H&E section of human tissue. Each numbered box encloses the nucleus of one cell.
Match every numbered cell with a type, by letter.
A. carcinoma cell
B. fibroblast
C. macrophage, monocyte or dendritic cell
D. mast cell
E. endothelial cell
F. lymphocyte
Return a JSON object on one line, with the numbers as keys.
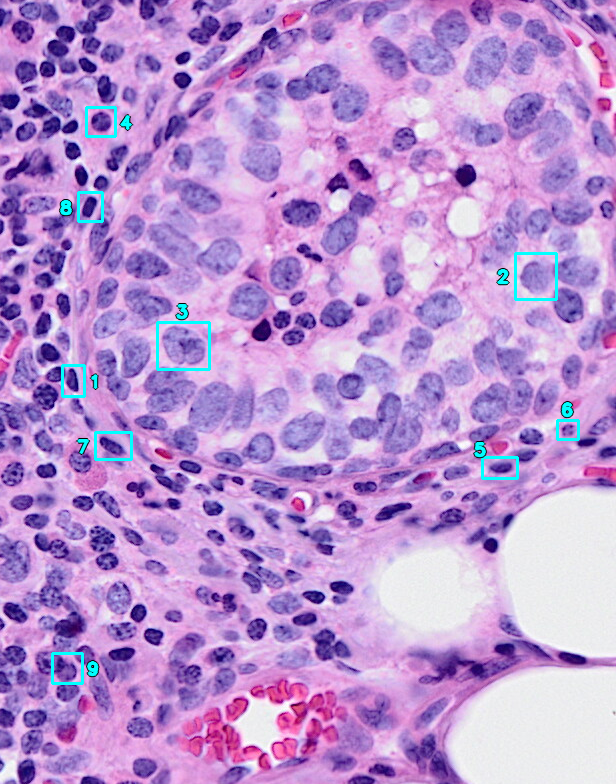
{"1": "F", "2": "A", "3": "A", "4": "D", "5": "F", "6": "D", "7": "F", "8": "F", "9": "F"}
